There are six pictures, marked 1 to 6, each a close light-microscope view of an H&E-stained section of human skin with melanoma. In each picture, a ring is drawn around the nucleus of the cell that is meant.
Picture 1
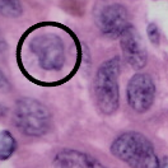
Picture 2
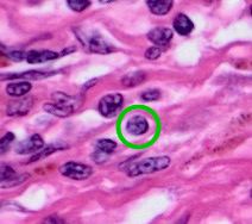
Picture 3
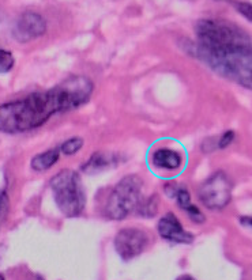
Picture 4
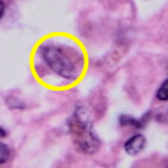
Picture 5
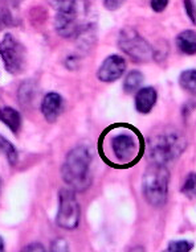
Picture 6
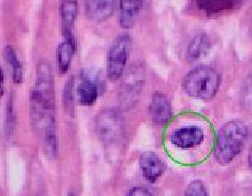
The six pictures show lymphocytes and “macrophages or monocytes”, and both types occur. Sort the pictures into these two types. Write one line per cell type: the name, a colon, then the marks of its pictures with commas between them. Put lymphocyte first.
lymphocyte: 2, 3, 5, 6
macrophage or monocyte: 1, 4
